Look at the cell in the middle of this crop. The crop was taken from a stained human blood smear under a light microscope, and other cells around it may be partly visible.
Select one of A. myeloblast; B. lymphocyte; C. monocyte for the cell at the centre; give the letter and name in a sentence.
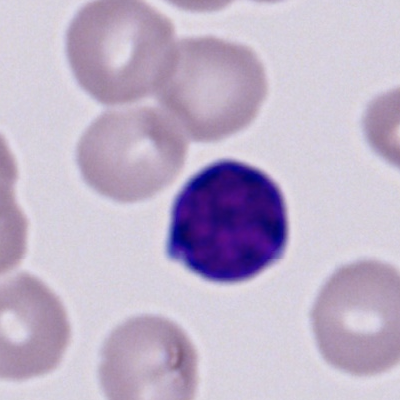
For this crop, option B is right, the centered cell being a lymphocyte.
